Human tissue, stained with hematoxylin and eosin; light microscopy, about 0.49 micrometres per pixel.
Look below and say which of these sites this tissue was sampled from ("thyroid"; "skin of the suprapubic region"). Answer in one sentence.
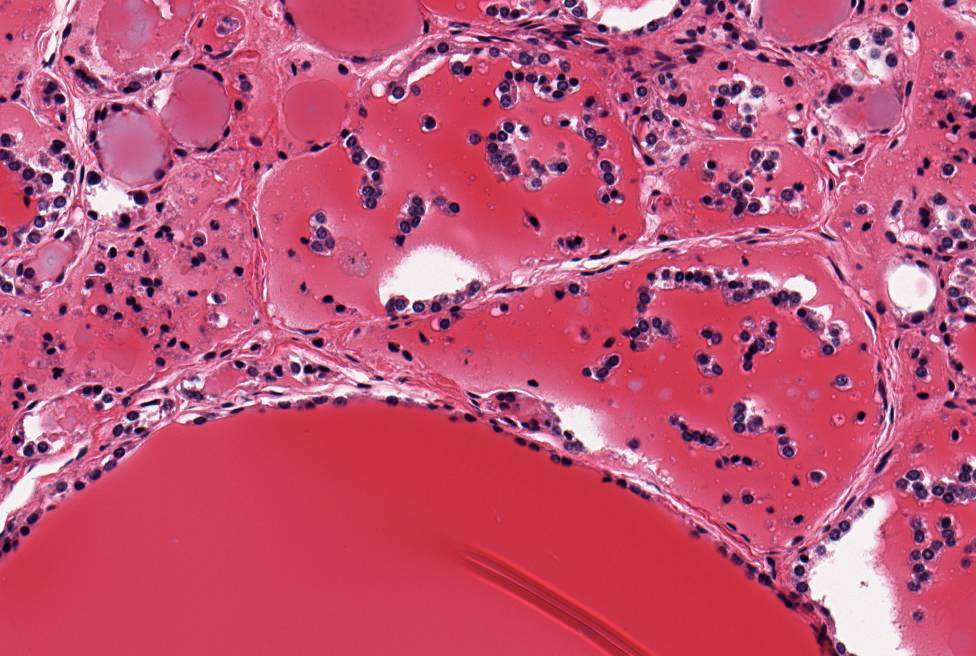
The site this tissue was sampled from is the thyroid.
